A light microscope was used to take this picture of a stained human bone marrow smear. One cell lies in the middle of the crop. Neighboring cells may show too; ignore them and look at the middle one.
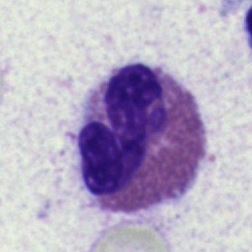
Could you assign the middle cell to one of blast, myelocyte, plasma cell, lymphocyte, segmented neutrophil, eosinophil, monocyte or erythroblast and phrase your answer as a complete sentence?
The centrally placed cell is classified as an eosinophil.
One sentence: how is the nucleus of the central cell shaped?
It is worth mentioning that the nucleus carries two or more lobes.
